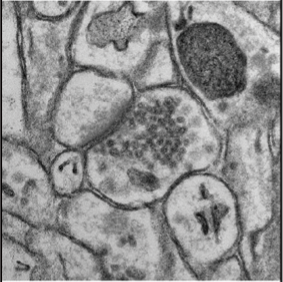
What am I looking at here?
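This is brain neuropil at electron microscope scale, with tightly packed membrane-bound profiles of axons, dendrites and their terminals. In the middle a presynaptic bouton is crowded with many small, round, clear synaptic vesicles of fairly uniform size. Around it lie other profiles of differing size, some with pale cytoplasm and a few containing darker organelles.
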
